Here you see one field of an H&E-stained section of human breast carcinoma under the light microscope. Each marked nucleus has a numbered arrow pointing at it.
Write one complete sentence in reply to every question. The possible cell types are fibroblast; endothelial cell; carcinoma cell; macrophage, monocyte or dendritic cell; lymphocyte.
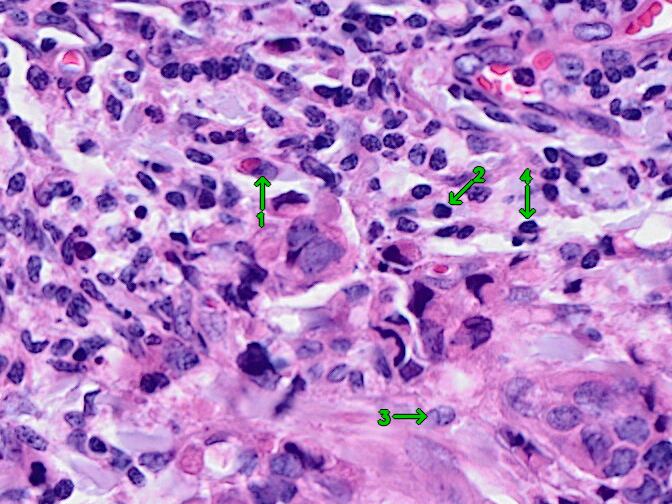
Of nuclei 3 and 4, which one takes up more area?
Nucleus 3 is larger, with an area about 2.5 times that of nucleus 4.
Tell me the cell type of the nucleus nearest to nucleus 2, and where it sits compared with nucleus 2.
The closest nucleus belongs to a lymphocyte and sits below nucleus 2.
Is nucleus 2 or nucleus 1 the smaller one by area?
The smaller nucleus is 2, and 1 covers roughly 1.5 times its area.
